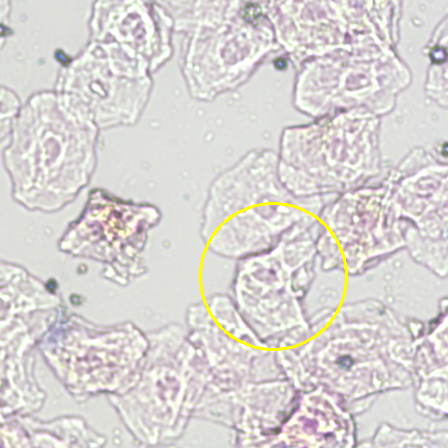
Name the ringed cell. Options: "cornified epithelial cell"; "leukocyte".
cornified epithelial cell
